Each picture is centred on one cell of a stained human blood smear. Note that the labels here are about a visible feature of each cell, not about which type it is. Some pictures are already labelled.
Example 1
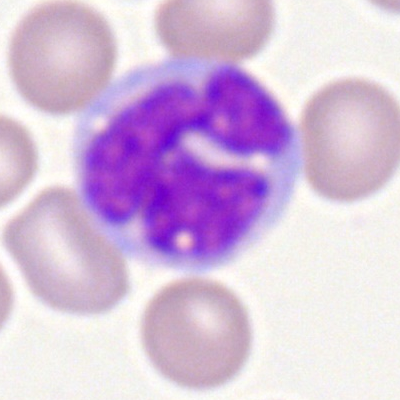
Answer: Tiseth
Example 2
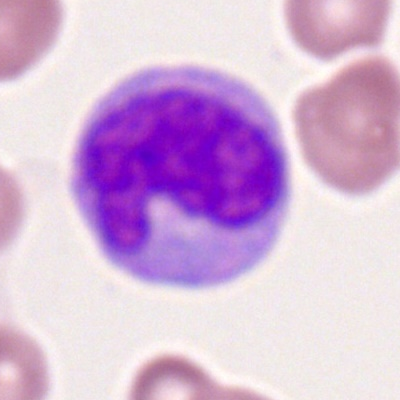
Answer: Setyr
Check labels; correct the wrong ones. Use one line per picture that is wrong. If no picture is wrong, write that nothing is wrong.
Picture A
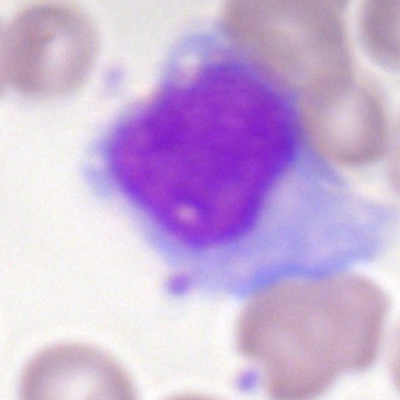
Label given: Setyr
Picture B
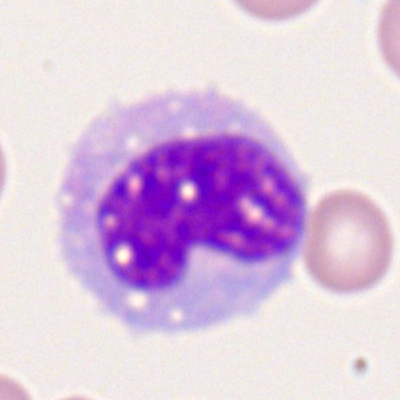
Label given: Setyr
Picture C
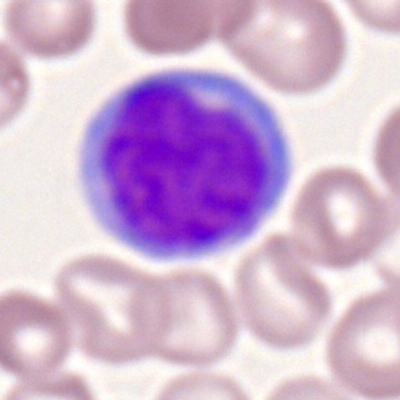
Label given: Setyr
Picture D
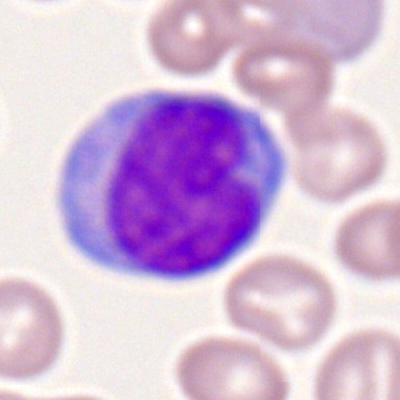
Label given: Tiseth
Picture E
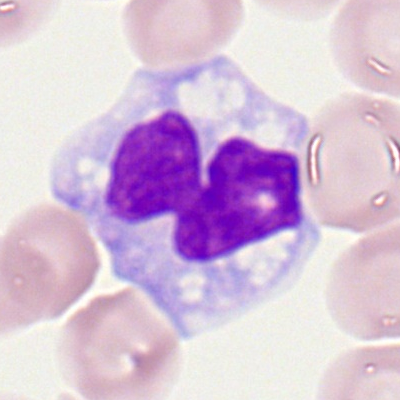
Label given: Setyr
D: not Tiseth but Setyr
E: not Setyr but Tiseth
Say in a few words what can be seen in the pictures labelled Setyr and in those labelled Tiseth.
In Setyr: single compact nucleus. In Tiseth: lobed nucleus.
